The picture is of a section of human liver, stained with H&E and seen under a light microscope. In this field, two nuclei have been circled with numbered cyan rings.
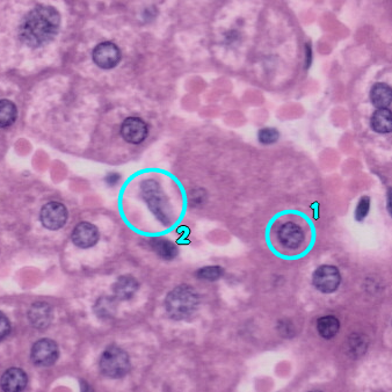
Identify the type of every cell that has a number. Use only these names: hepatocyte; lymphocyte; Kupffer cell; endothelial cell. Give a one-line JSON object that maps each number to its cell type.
{"1": "hepatocyte", "2": "Kupffer cell"}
